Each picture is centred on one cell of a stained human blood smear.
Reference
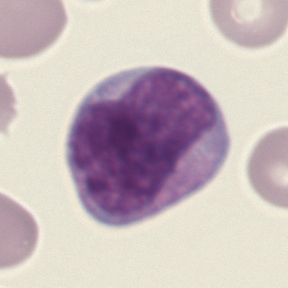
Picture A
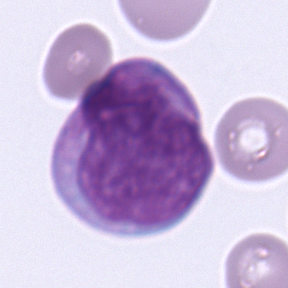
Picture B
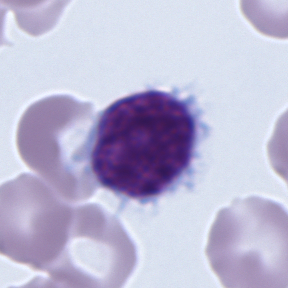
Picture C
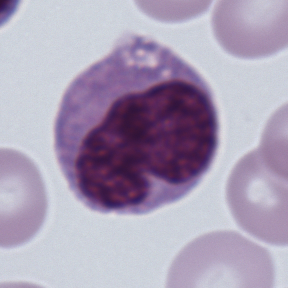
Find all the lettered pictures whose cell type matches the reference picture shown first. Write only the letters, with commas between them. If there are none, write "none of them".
A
